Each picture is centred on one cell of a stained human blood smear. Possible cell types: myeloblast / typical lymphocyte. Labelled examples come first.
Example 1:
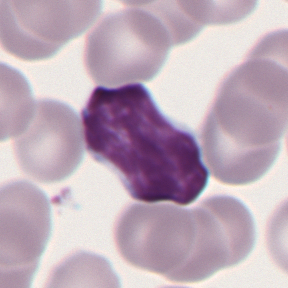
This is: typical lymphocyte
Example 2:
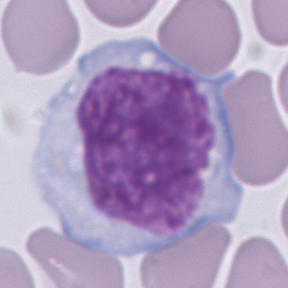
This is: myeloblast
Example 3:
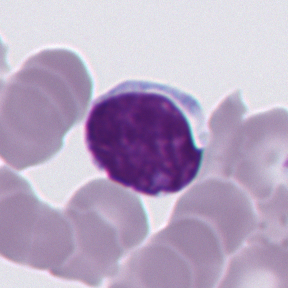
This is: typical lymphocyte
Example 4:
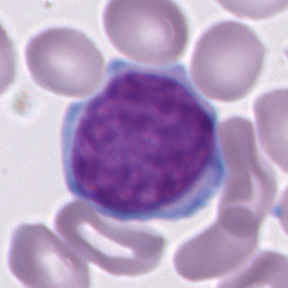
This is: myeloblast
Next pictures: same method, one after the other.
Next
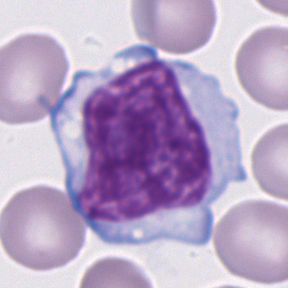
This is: myeloblast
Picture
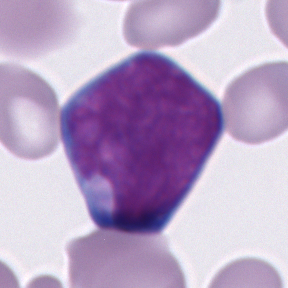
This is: myeloblast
